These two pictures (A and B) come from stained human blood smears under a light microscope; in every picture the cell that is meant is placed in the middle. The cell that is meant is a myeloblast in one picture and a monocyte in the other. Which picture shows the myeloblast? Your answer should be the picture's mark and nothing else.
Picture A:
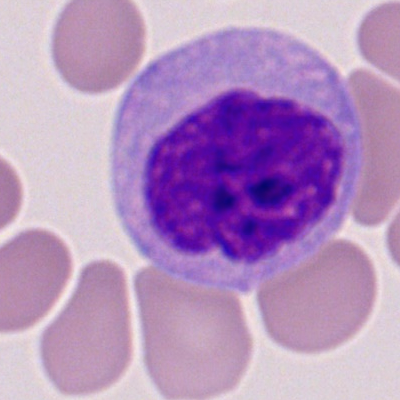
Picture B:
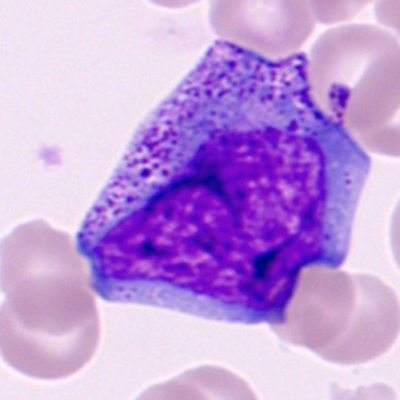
B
